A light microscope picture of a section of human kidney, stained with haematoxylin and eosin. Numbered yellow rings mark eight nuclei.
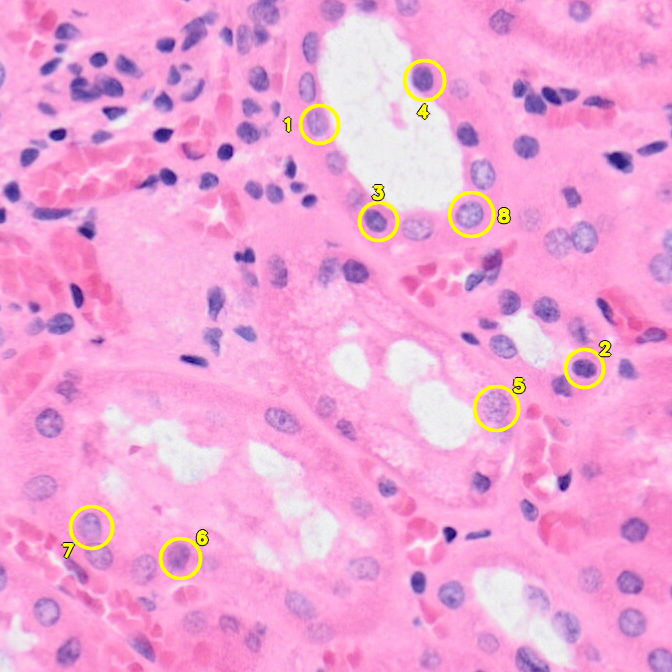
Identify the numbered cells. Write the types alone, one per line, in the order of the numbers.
loop of Henle or distal tubule cell
loop of Henle or distal tubule cell
loop of Henle or distal tubule cell
loop of Henle or distal tubule cell
proximal tubule cell
proximal tubule cell
proximal tubule cell
loop of Henle or distal tubule cell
